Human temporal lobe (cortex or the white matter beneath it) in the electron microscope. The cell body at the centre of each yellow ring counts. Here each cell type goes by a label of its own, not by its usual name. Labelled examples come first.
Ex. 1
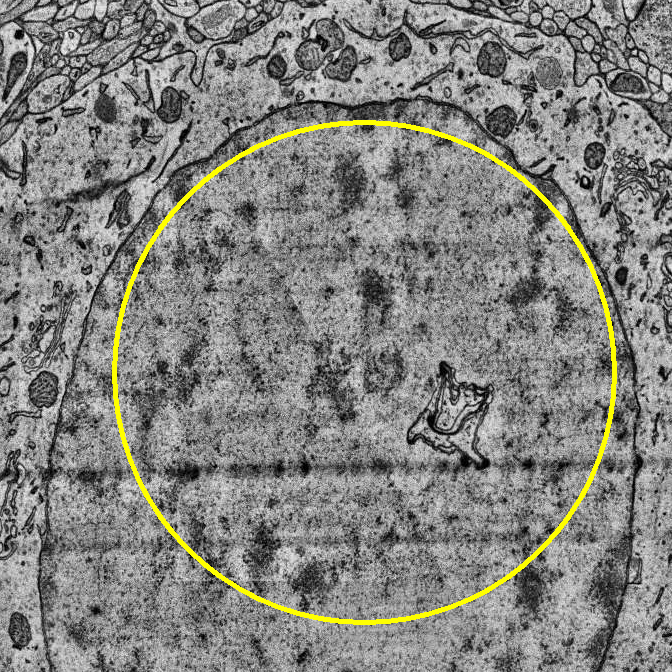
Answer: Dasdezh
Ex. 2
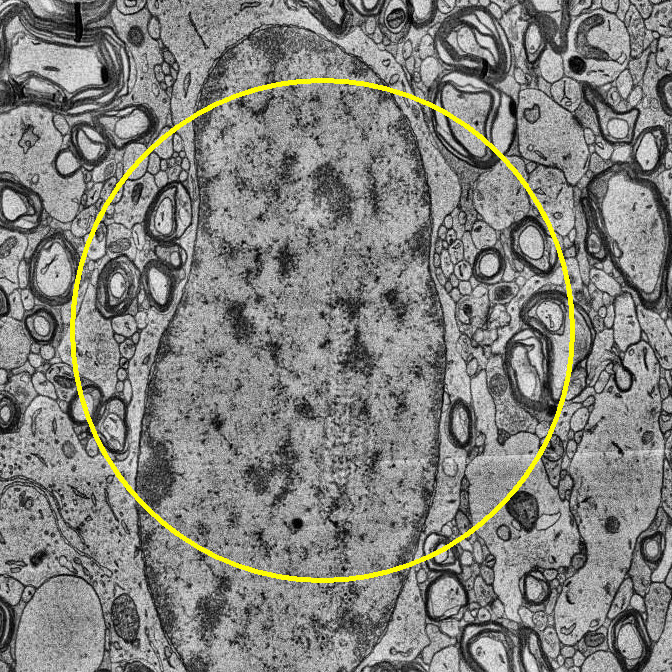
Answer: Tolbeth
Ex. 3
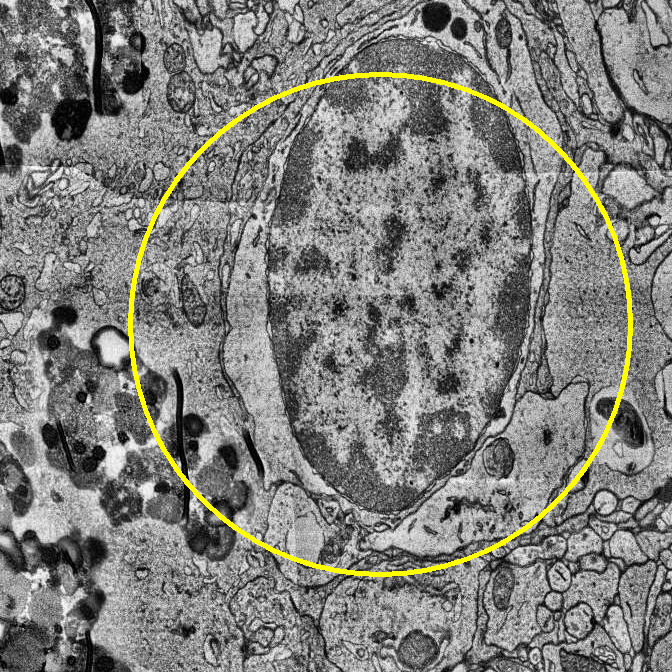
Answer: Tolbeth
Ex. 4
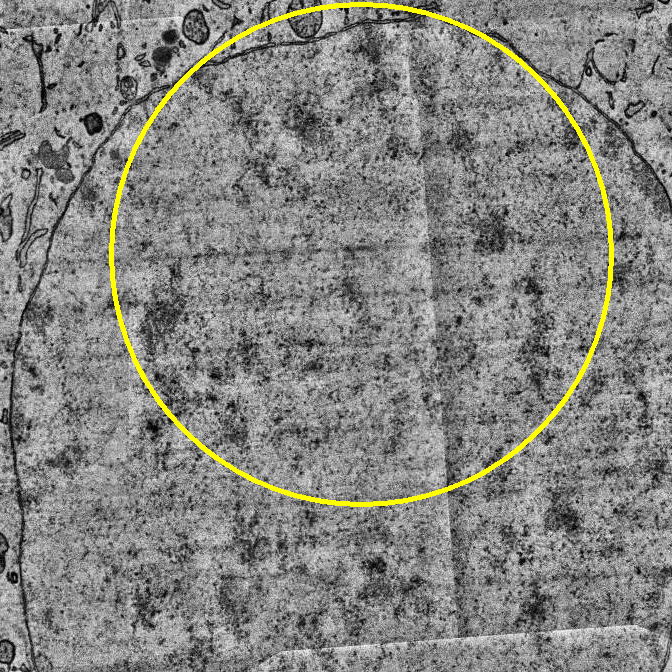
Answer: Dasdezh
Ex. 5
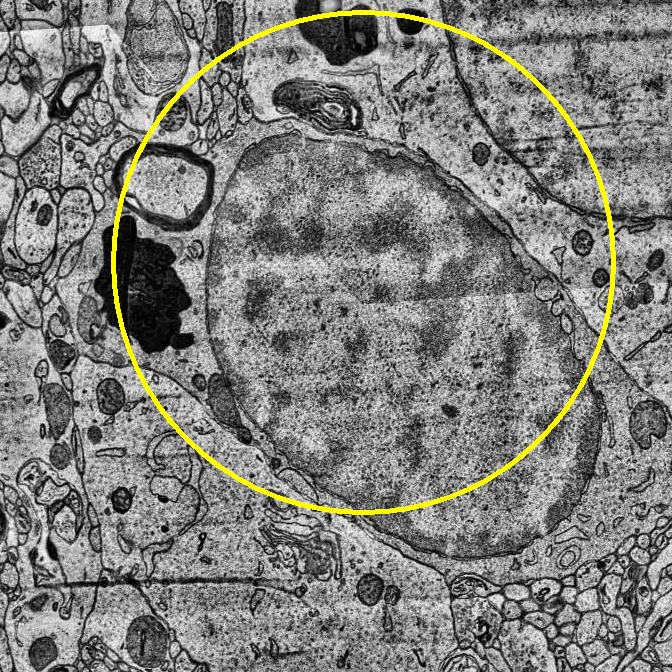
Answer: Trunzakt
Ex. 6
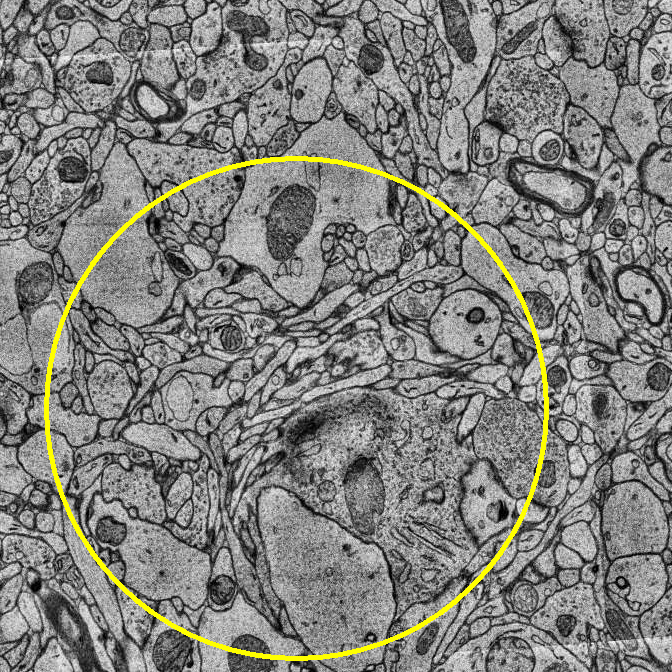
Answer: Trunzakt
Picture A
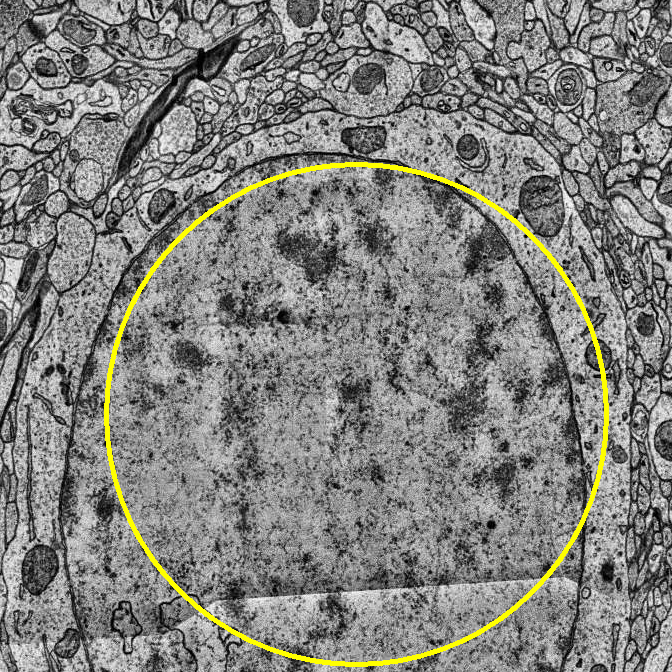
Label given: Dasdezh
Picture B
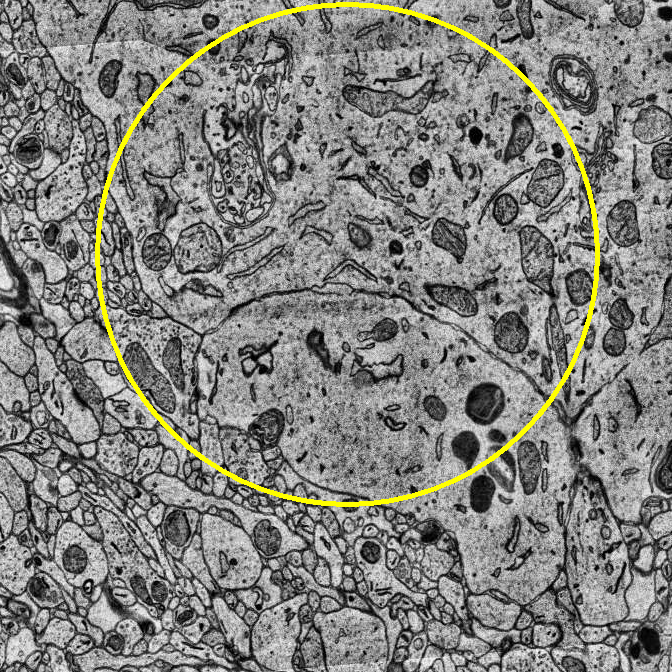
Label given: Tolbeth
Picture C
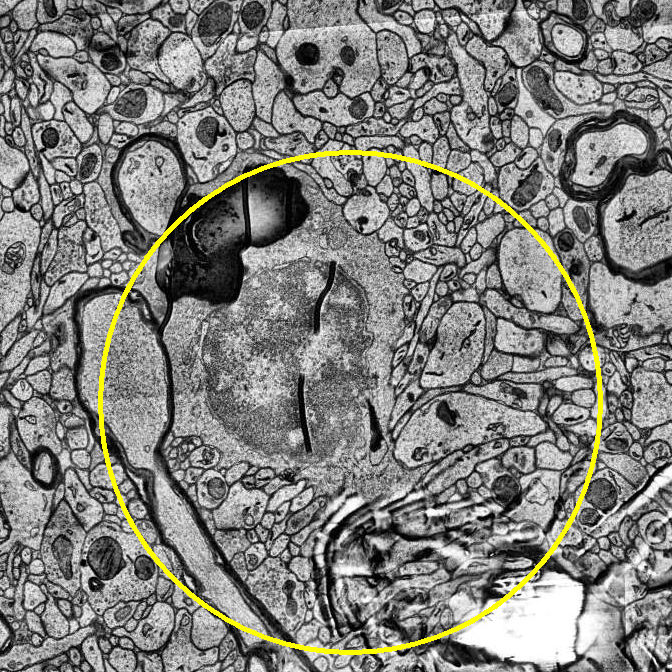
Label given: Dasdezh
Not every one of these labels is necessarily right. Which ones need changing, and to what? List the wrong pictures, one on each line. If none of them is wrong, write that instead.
C should be Trunzakt, not Dasdezh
